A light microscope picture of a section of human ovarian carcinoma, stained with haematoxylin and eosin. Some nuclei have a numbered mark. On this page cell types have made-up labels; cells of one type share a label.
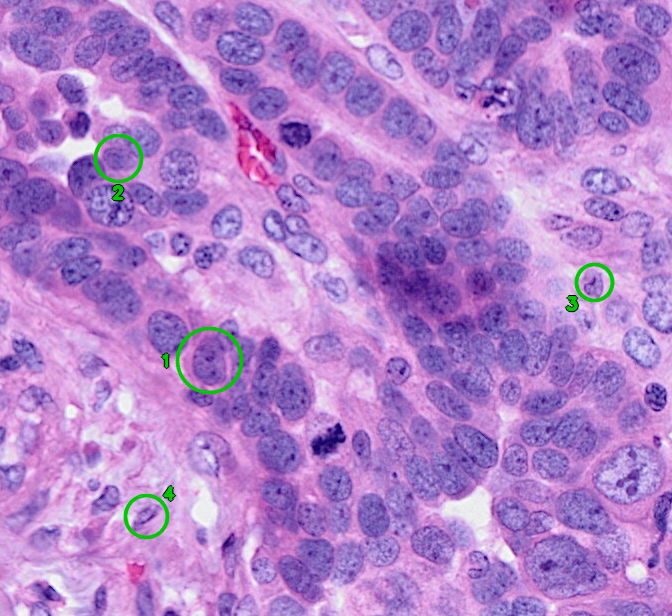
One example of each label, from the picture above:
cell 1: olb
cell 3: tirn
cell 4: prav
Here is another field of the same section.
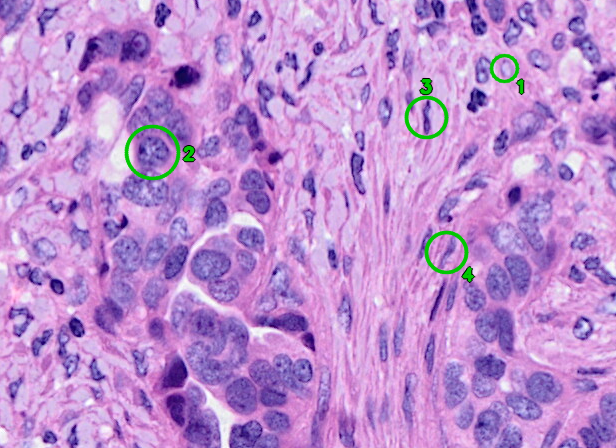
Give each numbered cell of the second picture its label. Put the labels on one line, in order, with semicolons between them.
prav; olb; prav; prav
